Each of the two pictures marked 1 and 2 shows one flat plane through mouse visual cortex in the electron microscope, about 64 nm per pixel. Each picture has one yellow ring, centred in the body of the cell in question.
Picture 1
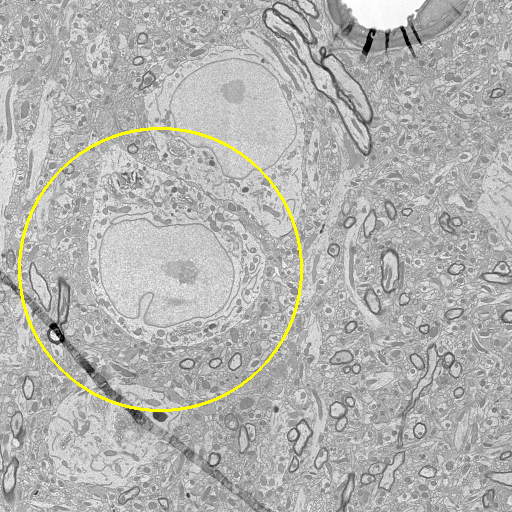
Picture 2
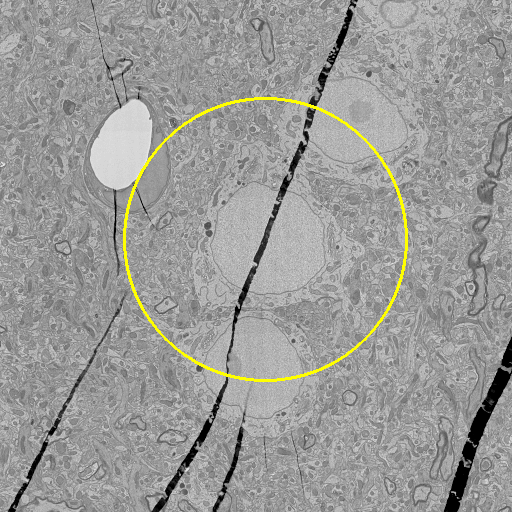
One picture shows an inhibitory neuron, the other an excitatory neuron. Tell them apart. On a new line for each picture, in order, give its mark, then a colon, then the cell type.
1: inhibitory neuron
2: excitatory neuron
